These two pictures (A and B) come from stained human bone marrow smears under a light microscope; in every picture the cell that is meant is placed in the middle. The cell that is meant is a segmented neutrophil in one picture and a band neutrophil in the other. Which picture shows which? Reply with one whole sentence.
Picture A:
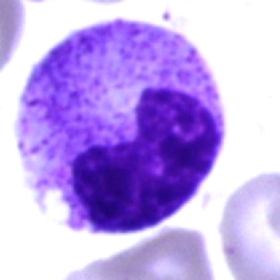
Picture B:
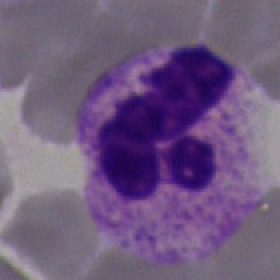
Picture A shows a band neutrophil and picture B shows a segmented neutrophil.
